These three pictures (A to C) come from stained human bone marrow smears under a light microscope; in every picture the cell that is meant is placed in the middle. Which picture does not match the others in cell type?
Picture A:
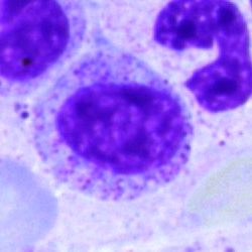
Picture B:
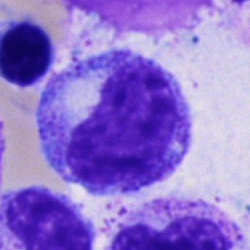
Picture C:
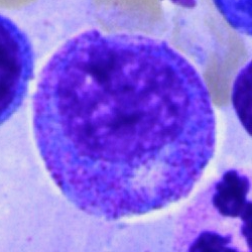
A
